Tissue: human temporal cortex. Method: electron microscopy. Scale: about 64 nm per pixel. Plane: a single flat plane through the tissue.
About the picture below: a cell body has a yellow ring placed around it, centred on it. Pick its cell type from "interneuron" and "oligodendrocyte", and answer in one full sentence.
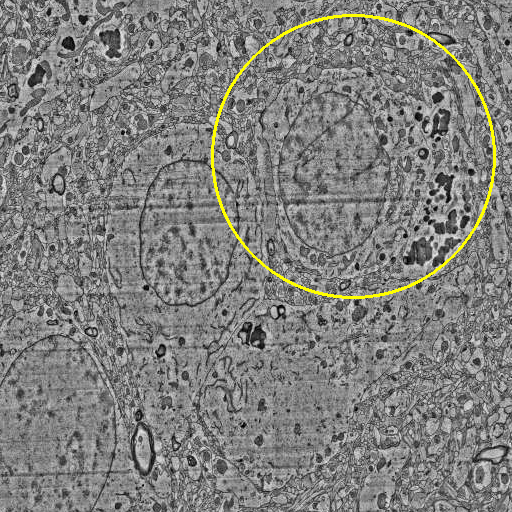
In the picture, an interneuron is the cell sitting at the centre of the yellow ring.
